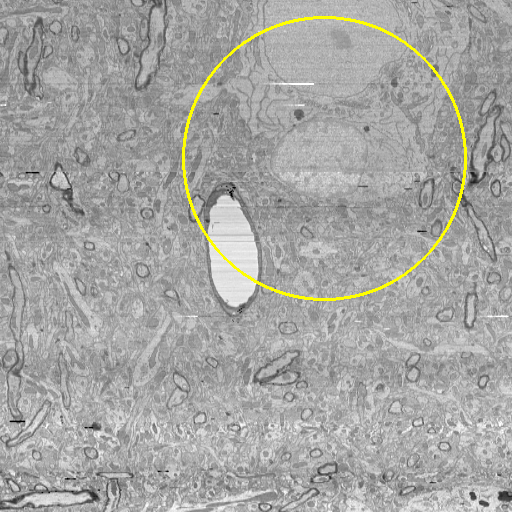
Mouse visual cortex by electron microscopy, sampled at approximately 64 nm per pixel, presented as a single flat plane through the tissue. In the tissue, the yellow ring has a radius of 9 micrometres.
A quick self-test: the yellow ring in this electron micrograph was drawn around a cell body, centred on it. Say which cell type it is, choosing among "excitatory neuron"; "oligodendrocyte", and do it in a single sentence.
The yellow-ringed cell is an oligodendrocyte.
